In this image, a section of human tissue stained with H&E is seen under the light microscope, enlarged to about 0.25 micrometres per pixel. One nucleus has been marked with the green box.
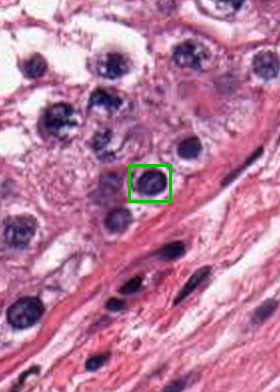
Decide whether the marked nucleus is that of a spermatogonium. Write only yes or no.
yes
